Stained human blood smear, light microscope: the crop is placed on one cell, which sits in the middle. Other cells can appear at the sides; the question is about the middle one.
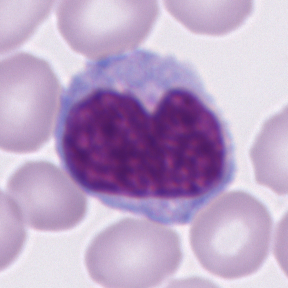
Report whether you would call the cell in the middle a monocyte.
yes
